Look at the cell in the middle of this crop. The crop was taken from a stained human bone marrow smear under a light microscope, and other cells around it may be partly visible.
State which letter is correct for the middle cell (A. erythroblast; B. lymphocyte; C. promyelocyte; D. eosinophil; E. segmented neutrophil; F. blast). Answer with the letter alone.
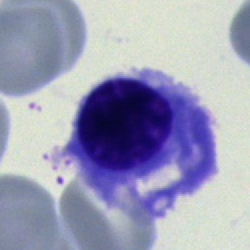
A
